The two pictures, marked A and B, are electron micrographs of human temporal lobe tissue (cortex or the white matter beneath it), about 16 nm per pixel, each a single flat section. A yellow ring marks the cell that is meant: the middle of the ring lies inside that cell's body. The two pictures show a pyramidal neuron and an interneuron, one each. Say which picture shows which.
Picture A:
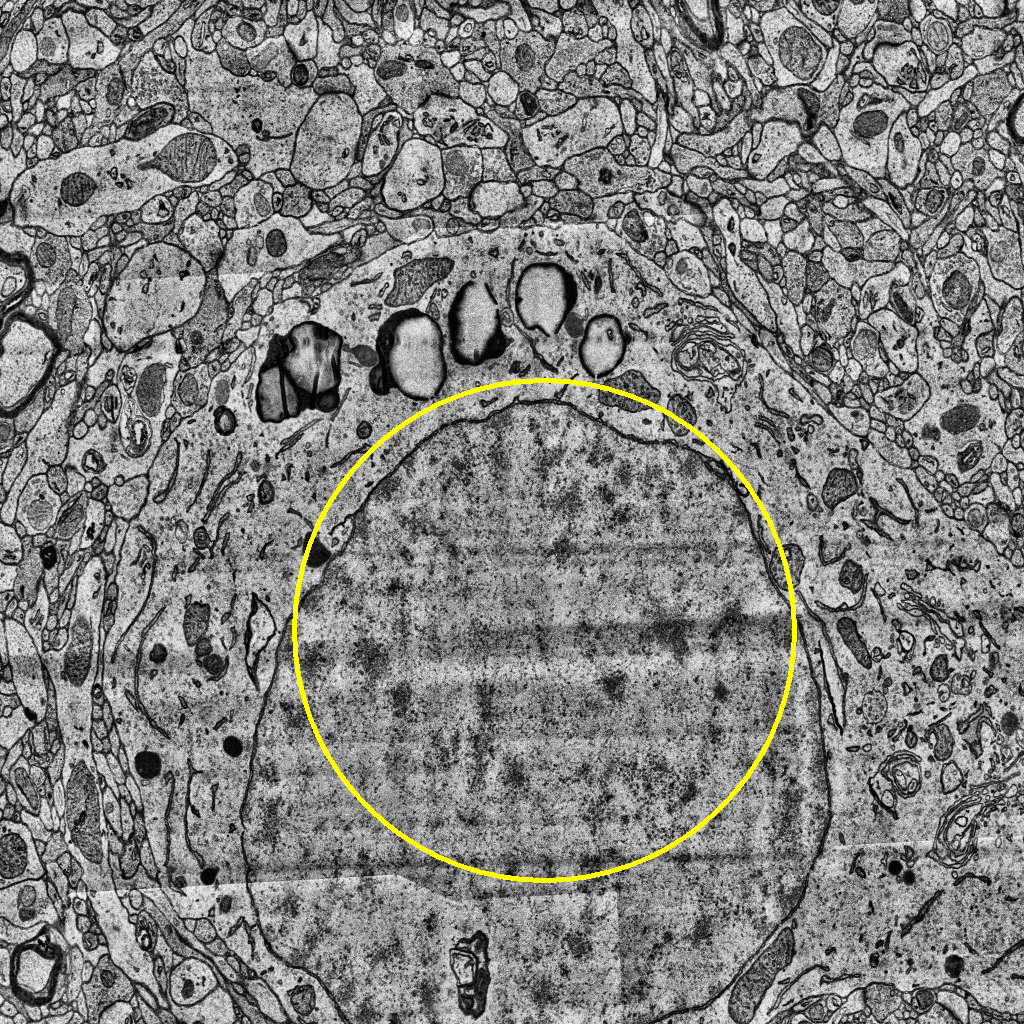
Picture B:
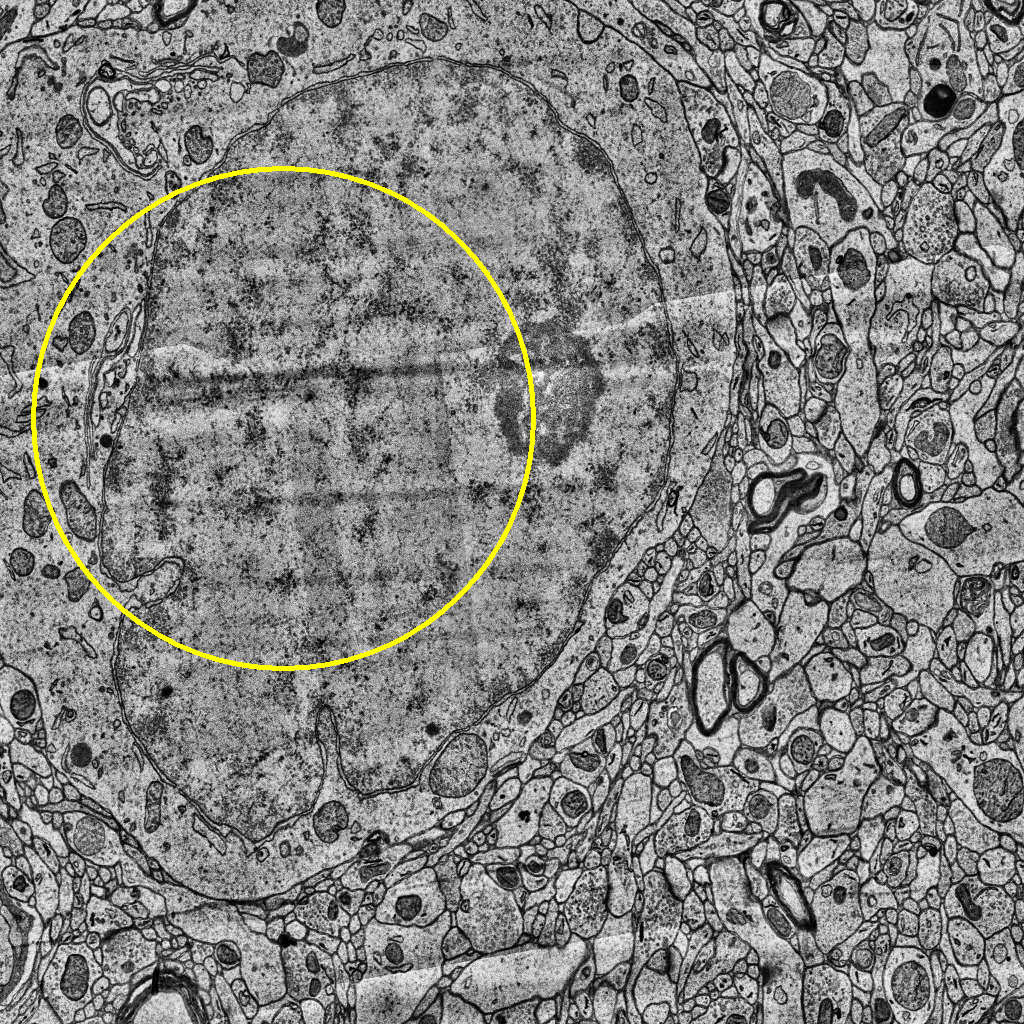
Picture B shows an interneuron, while picture A shows a pyramidal neuron.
